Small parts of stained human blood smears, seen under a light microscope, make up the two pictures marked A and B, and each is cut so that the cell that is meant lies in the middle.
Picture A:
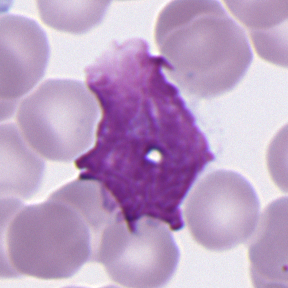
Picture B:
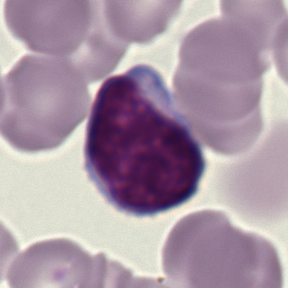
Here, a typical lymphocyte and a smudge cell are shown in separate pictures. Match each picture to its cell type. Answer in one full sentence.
It is picture A that shows a smudge cell, and picture B that shows a typical lymphocyte.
